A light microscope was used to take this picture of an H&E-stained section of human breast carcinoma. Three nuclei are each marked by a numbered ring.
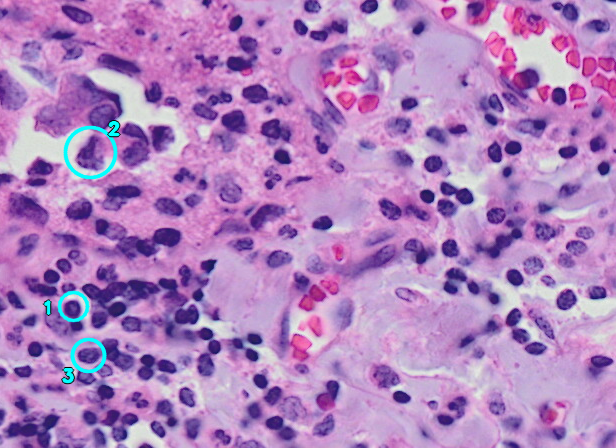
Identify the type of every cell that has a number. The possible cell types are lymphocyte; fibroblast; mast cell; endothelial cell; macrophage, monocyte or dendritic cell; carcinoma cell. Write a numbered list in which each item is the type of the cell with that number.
1. lymphocyte
2. carcinoma cell
3. lymphocyte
